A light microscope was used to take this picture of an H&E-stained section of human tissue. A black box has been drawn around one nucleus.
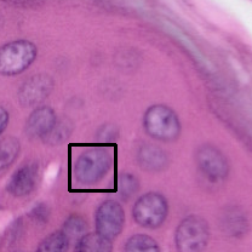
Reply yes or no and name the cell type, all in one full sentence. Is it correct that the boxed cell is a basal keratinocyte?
No. Look again: the boxed cell is a suprabasal keratinocyte, not a basal keratinocyte.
